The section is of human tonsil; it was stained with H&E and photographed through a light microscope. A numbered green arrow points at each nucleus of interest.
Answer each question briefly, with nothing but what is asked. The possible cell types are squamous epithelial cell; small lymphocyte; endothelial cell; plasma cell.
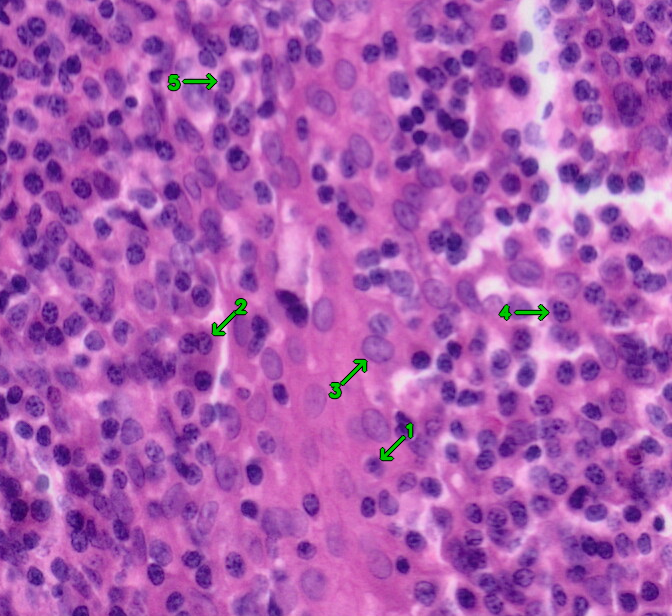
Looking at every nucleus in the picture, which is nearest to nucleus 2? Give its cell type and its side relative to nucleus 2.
a plasma cell to the left of nucleus 2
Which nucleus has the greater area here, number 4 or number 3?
3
